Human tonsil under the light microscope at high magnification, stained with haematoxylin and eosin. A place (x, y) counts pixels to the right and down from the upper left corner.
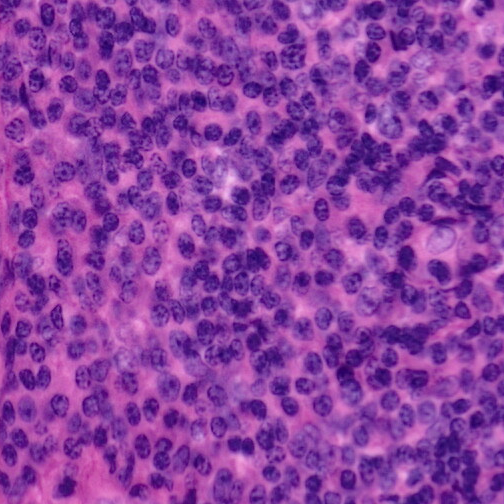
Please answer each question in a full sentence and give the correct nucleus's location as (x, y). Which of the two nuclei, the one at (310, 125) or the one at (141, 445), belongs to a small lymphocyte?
The nucleus at position (310, 125) belongs to a small lymphocyte.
